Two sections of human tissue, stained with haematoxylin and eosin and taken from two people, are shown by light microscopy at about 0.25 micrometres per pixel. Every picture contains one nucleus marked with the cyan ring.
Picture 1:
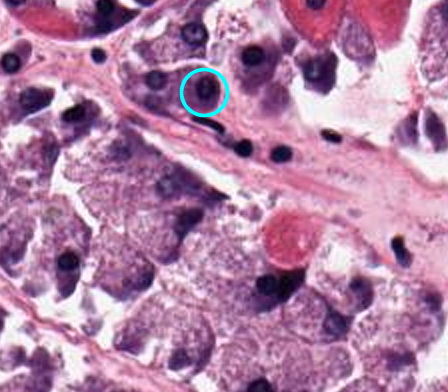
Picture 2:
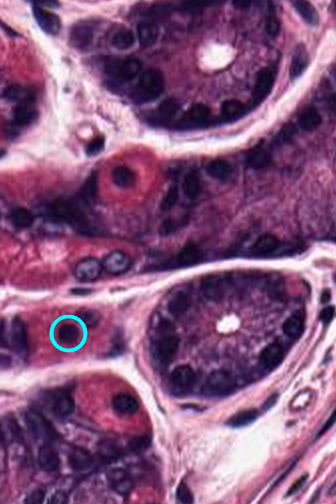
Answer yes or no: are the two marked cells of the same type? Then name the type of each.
No, the first is a chief cell and the second a parietal cell.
